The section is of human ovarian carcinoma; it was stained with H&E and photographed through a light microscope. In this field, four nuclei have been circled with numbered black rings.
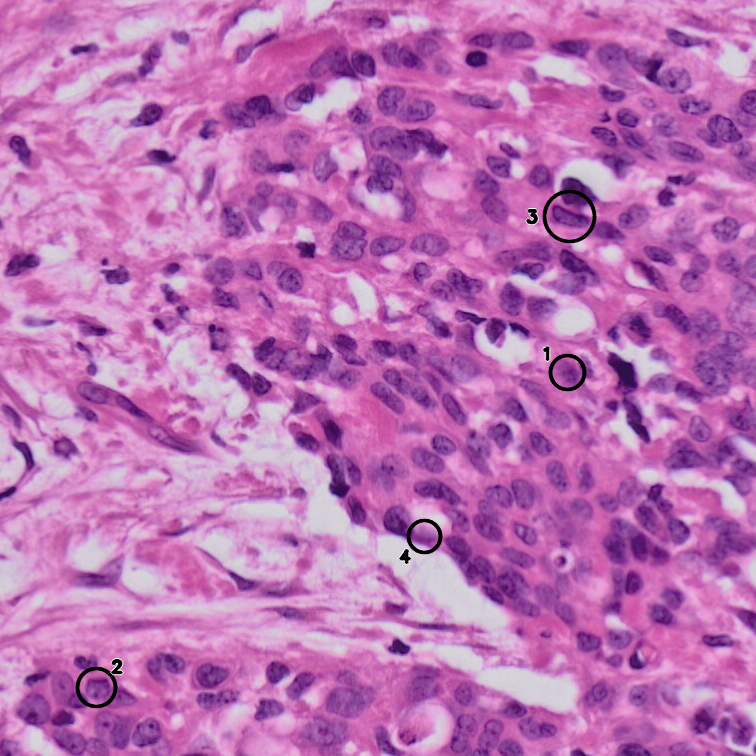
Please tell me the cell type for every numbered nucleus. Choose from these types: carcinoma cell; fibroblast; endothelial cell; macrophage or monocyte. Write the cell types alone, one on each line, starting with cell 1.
carcinoma cell
macrophage or monocyte
carcinoma cell
carcinoma cell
